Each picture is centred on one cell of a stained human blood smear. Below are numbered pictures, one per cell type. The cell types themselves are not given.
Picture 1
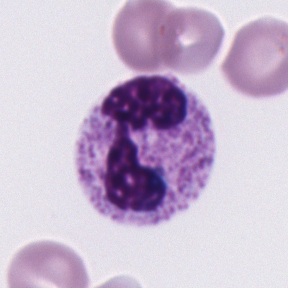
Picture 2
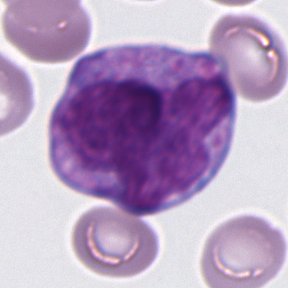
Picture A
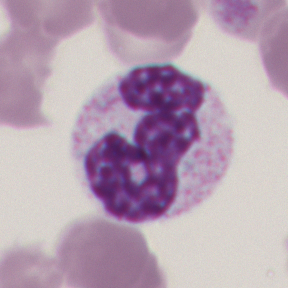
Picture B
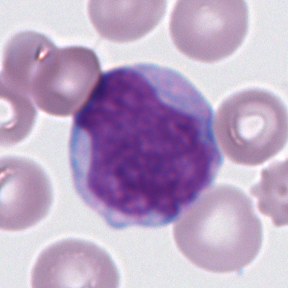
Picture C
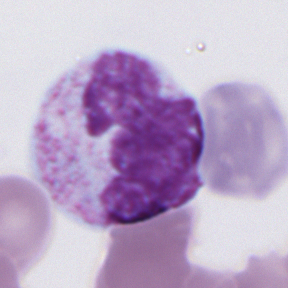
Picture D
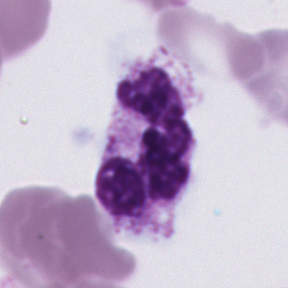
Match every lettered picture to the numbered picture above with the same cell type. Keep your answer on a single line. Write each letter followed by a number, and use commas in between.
A 1, B 2, C 1, D 1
